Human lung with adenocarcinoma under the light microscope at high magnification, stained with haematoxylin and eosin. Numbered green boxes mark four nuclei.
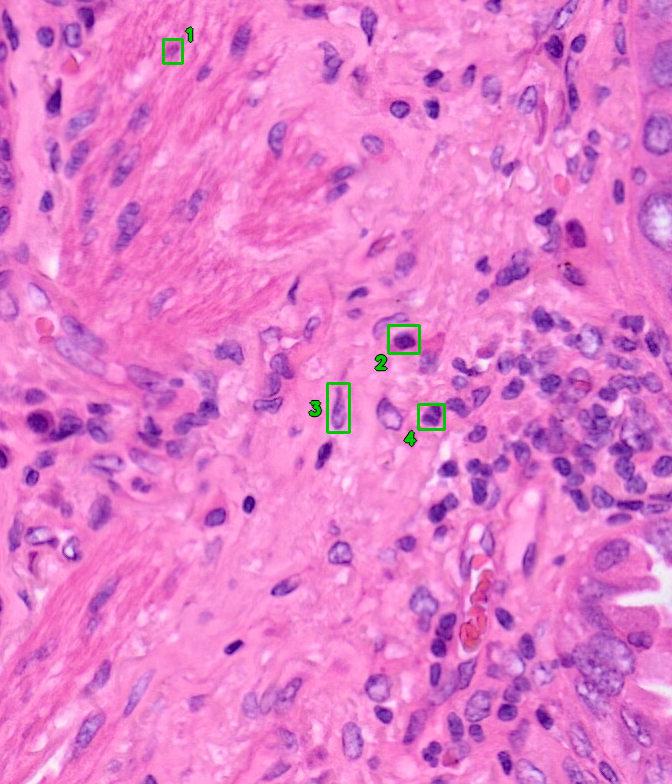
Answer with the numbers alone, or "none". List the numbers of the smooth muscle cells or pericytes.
1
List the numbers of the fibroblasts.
3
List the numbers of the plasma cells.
2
